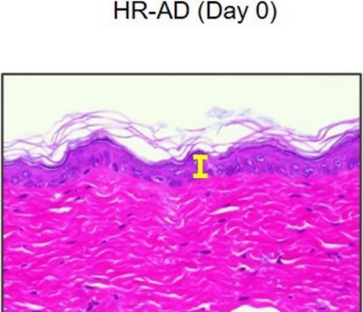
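This is a section of skin with a thin epidermis of only a few layers of purple-staining cells with small dark nuclei. Above it lie loose, wavy lamellae of cornified material separated from the surface. The dermis beneath is made of dense, pink collagen bundles running roughly parallel to the surface. A short yellow bar marks the height of the epidermis.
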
